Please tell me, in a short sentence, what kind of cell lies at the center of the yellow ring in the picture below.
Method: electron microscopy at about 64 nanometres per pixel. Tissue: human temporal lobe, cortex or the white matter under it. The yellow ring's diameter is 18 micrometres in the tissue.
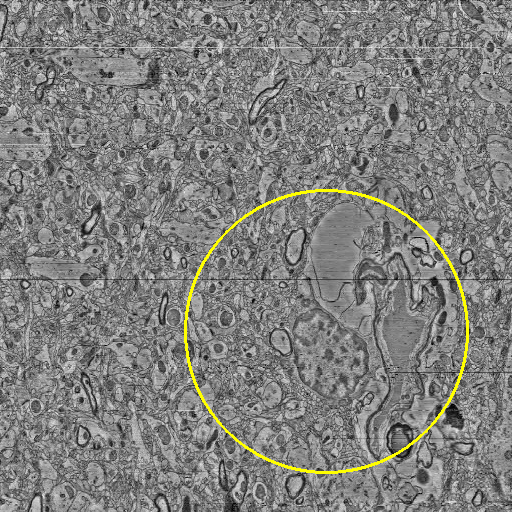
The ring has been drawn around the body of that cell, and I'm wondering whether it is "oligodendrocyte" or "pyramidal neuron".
The cell at the center of the ring is an oligodendrocyte.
